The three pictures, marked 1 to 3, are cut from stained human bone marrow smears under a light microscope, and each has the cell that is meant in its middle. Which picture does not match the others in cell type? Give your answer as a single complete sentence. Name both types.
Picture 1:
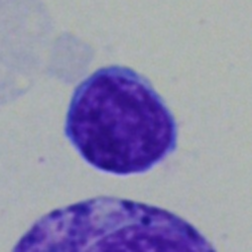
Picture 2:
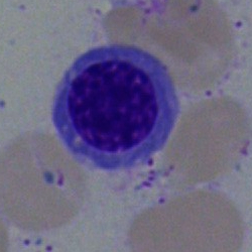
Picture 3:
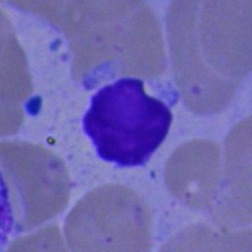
Picture 2 is the odd one out: it shows an erythroblast, while the others show lymphocytes.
